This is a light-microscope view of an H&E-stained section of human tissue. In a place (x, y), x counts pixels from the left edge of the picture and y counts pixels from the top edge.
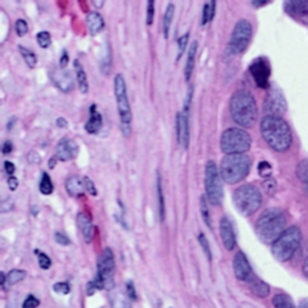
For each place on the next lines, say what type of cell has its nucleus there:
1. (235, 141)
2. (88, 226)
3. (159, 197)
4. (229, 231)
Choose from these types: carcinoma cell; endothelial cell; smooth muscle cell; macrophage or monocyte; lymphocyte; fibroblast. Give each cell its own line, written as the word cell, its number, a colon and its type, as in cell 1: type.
cell 1: carcinoma cell
cell 2: endothelial cell
cell 3: fibroblast
cell 4: carcinoma cell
